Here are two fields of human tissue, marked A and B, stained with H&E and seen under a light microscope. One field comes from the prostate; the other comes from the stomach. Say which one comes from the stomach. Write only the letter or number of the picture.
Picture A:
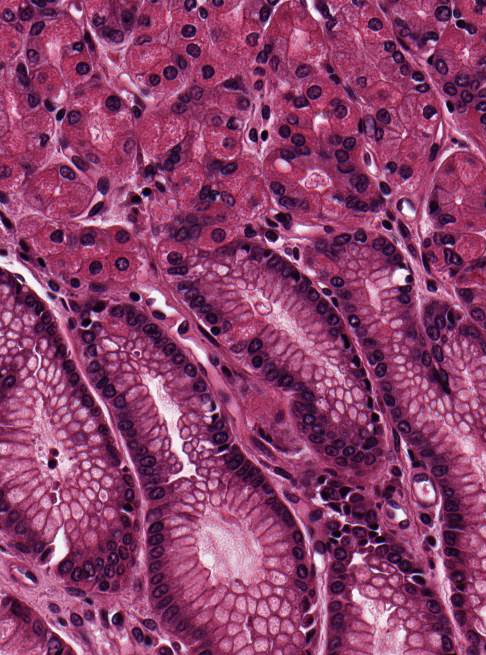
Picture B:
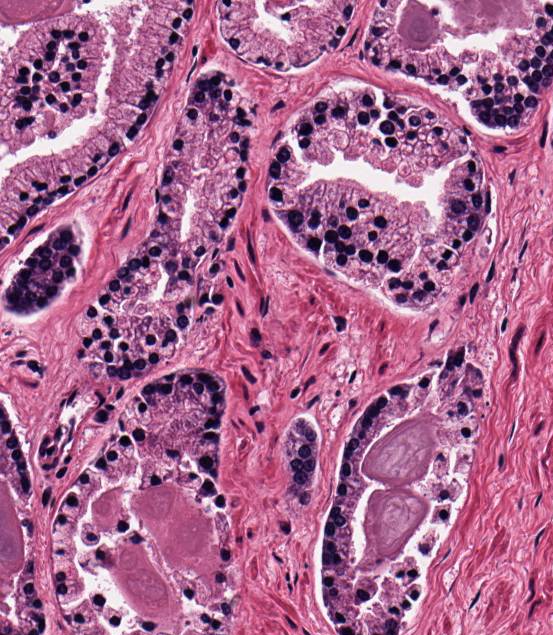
A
